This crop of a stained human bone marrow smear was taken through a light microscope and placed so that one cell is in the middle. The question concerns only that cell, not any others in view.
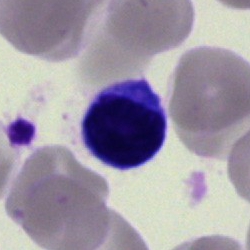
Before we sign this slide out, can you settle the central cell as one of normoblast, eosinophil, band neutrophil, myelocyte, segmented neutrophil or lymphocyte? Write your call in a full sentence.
The crop's centre is taken up by a lymphocyte.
